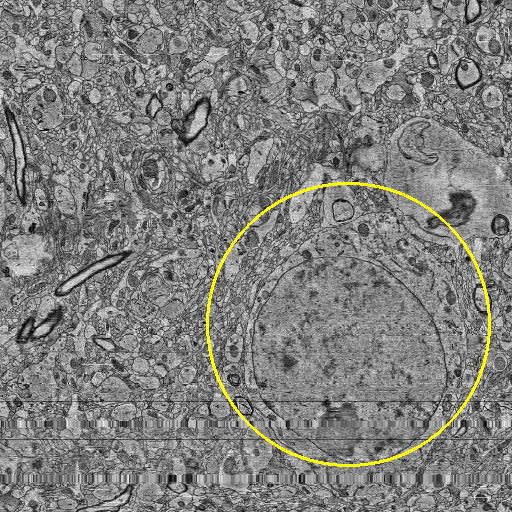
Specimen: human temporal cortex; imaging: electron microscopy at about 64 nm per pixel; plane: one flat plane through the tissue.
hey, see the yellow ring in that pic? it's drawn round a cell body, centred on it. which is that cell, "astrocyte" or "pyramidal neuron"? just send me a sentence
The cell in the ring is a pyramidal neuron.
